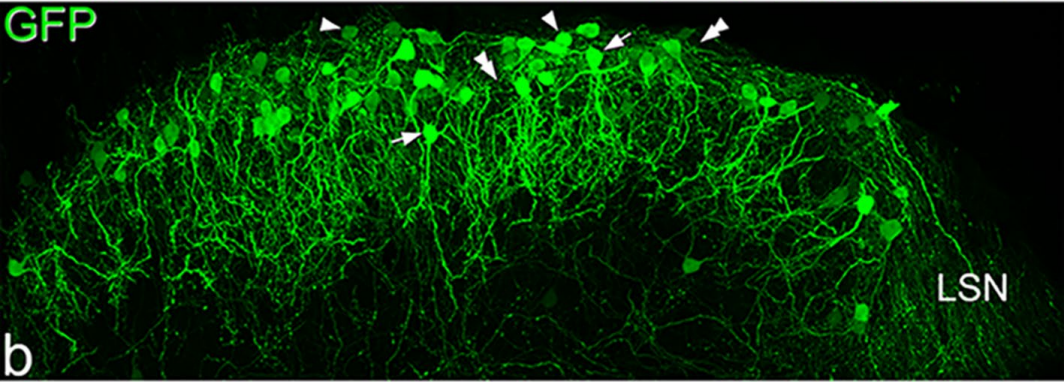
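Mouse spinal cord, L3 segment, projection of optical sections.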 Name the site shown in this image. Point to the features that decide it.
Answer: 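Labelled cell bodies crowd in a band just beneath the curved dorsal surface. Deeper parts of the section hold few labelled cell bodies. On this evidence: superficial dorsal horn.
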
